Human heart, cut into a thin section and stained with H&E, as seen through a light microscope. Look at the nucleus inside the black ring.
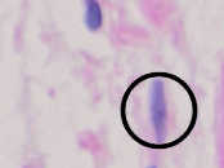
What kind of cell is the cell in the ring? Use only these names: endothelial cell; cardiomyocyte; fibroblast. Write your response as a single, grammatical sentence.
Within this tissue, the cell in the ring is a fibroblast.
